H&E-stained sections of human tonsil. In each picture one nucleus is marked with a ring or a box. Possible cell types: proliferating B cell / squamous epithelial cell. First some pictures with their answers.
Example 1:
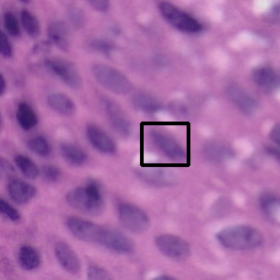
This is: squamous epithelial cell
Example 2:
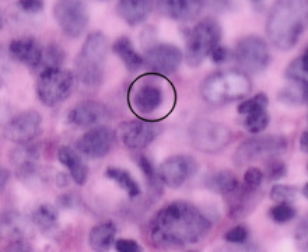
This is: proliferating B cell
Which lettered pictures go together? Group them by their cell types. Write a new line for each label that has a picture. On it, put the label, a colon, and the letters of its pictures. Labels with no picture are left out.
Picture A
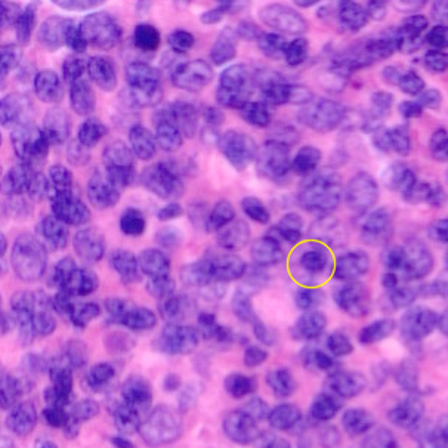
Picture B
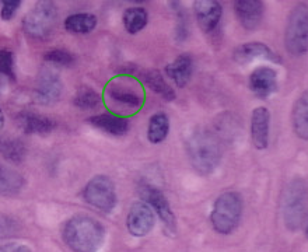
proliferating B cell: A
squamous epithelial cell: B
